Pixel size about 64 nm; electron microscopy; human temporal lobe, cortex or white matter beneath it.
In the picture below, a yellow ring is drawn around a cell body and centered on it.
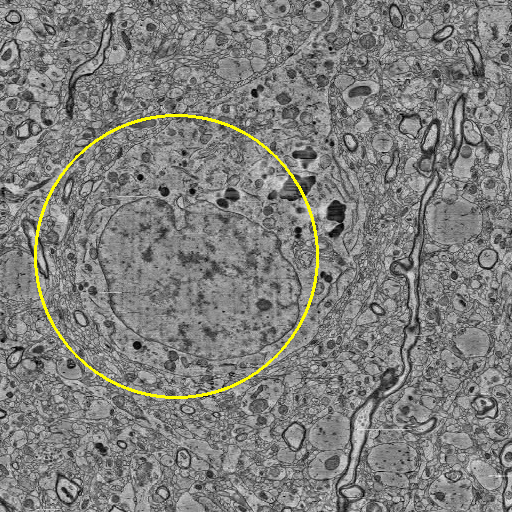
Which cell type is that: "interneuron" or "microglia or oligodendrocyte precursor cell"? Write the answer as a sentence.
The cell centered in the ring is an interneuron.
